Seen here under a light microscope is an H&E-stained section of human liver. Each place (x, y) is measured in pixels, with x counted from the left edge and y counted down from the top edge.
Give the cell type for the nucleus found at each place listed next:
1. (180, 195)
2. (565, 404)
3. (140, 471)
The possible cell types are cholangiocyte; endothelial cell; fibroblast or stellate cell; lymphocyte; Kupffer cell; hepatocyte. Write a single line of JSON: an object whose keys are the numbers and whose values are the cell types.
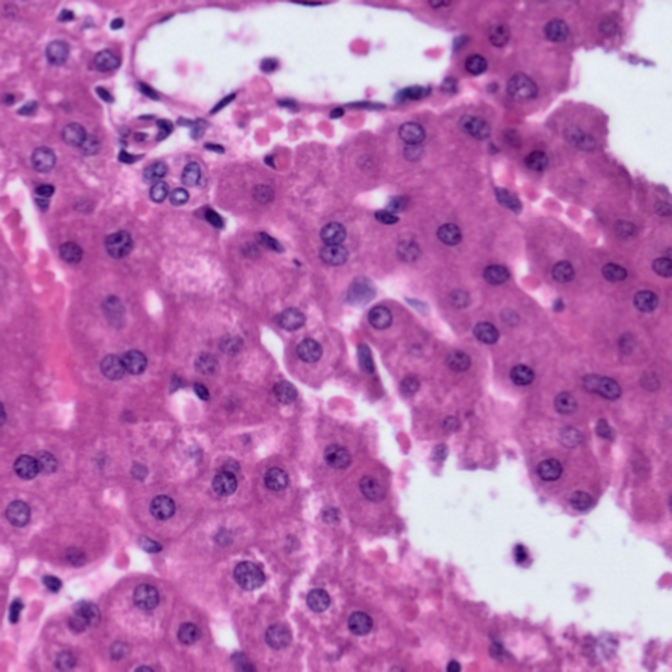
{"1": "cholangiocyte", "2": "hepatocyte", "3": "hepatocyte"}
